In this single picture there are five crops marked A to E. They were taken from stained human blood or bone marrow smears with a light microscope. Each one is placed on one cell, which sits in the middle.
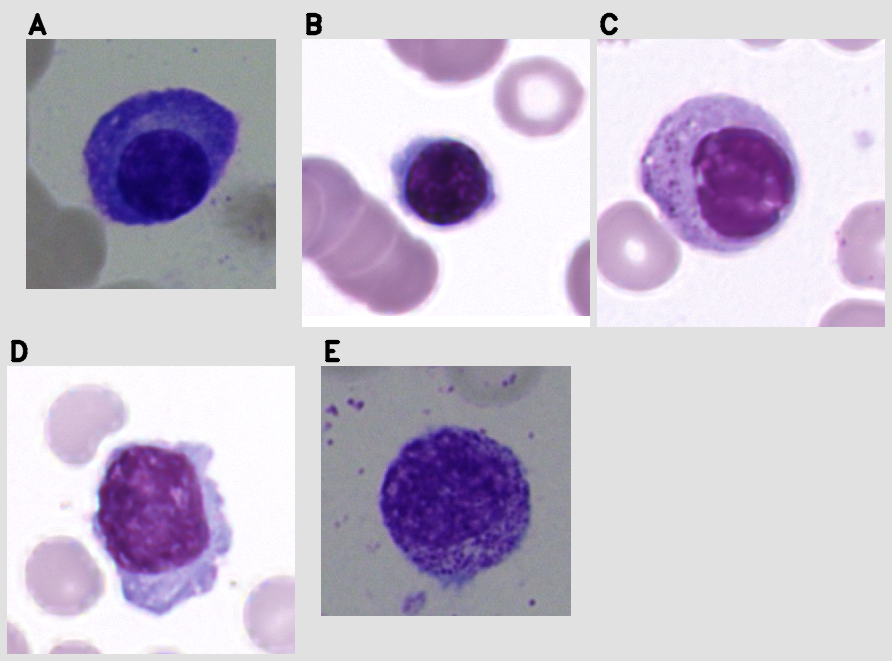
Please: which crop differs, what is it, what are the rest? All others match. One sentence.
The others are all plasma cells; crop E is a myelocyte.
